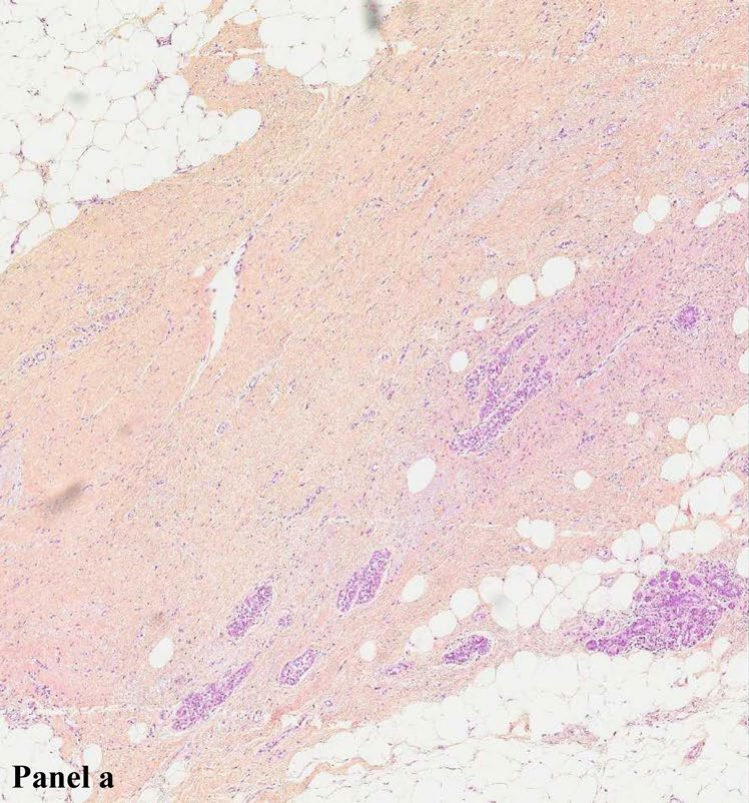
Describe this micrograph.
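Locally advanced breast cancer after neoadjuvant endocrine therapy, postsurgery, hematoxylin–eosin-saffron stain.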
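A broad band of pale pink fibrous tissue runs diagonally across the field, bordered by clear rounded fat cells above and below. Along its lower edge lie a few small, compact purple clusters of epithelial cells, while most of the band is paucicellular stroma.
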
